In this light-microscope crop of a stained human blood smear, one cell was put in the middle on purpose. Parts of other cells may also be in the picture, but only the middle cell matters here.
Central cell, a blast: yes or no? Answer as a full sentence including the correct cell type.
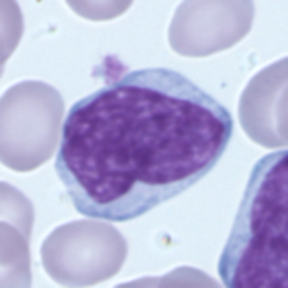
Yes, in this crop the cell in the middle is a blast.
